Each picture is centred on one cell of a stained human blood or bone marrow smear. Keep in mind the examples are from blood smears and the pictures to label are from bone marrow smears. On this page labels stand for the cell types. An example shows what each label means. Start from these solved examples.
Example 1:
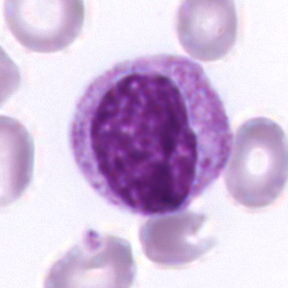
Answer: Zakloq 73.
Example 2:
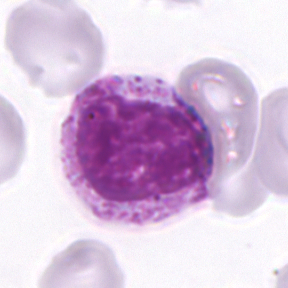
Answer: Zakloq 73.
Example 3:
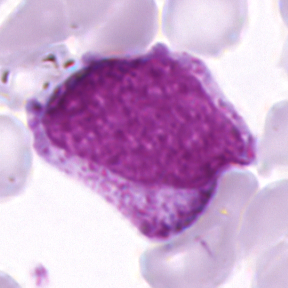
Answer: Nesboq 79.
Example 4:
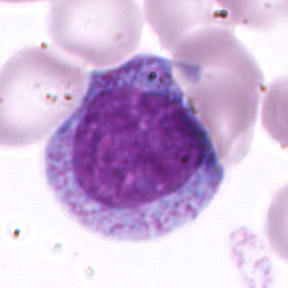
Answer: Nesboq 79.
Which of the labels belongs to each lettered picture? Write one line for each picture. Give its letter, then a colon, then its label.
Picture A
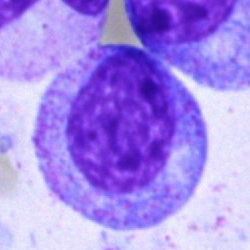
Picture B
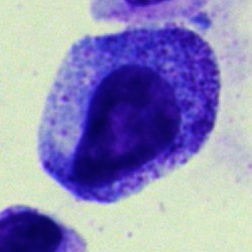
A: Zakloq 73.
B: Nesboq 79.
